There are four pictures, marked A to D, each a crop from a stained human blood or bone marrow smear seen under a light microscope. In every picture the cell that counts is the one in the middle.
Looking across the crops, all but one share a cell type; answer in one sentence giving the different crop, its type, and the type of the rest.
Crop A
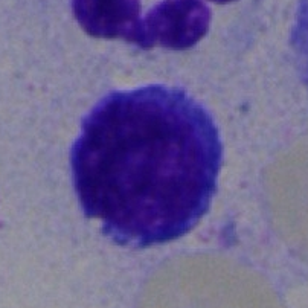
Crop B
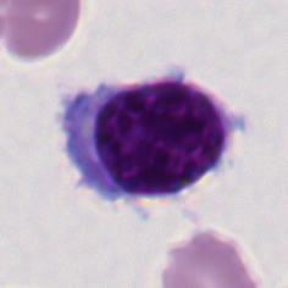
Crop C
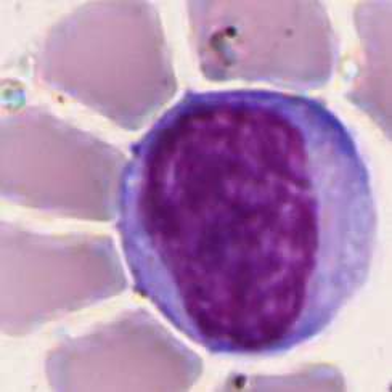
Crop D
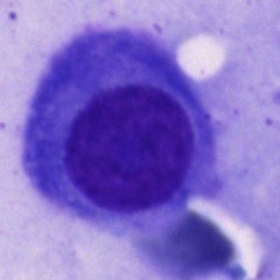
A different cell type, a lymphocyte, occupies crop A; the other crops show plasma cells.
